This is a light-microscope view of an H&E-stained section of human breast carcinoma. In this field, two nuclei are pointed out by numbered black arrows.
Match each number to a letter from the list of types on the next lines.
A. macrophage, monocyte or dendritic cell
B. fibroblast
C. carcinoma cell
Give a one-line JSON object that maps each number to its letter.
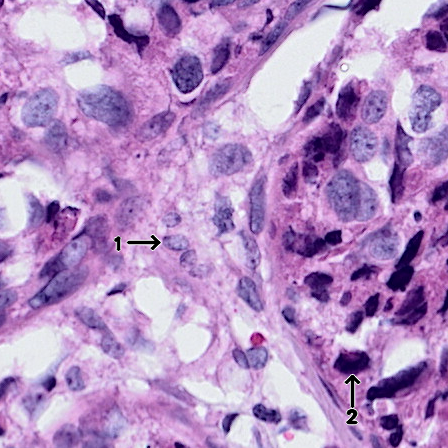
{"1": "A", "2": "C"}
